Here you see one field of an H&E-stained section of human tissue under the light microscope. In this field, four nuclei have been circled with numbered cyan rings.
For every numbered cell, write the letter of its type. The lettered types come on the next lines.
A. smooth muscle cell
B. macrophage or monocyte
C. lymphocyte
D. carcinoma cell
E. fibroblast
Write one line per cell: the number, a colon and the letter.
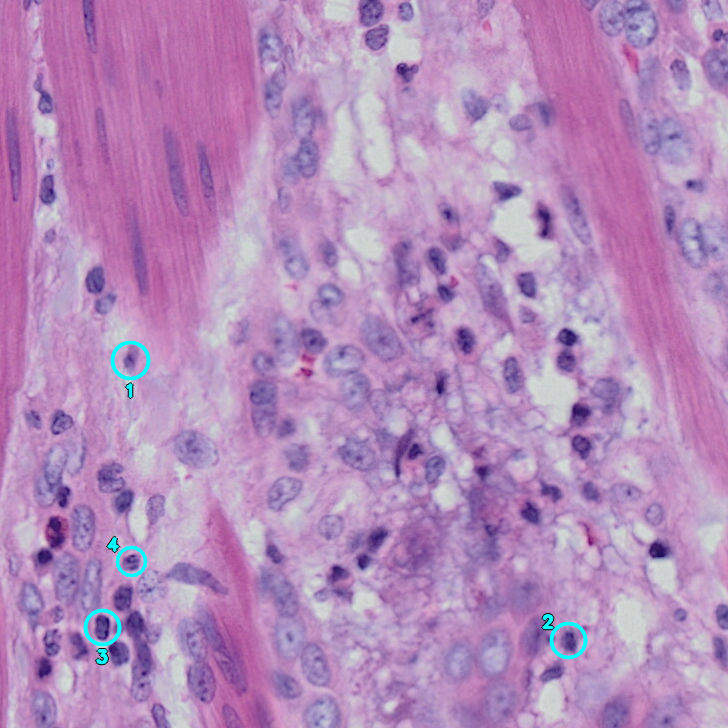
1: B
2: C
3: C
4: C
